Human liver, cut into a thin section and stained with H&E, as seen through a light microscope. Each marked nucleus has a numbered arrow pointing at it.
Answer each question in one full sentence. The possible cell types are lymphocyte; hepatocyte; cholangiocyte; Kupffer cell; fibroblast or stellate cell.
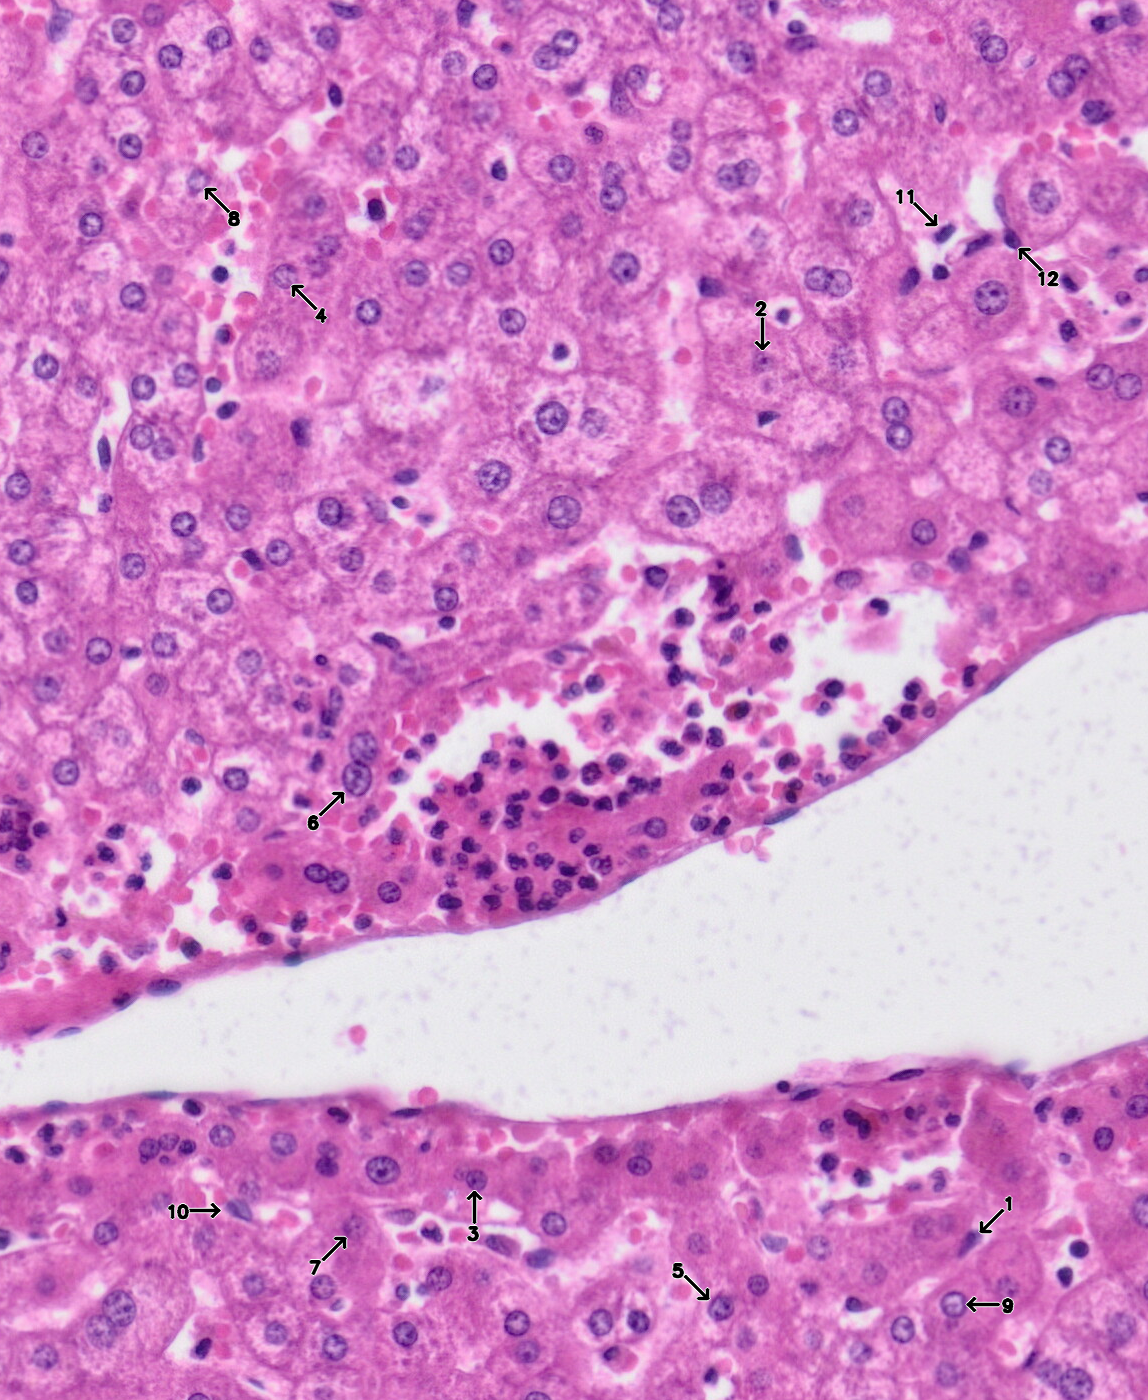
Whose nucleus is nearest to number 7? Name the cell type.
The nucleus nearest to number 7 is that of a Kupffer cell.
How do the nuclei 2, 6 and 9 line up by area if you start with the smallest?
From smallest to largest, the order is 2, 9, 6.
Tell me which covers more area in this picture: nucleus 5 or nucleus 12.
At about 2 times the area of nucleus 12, nucleus 5 is the larger of the two.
